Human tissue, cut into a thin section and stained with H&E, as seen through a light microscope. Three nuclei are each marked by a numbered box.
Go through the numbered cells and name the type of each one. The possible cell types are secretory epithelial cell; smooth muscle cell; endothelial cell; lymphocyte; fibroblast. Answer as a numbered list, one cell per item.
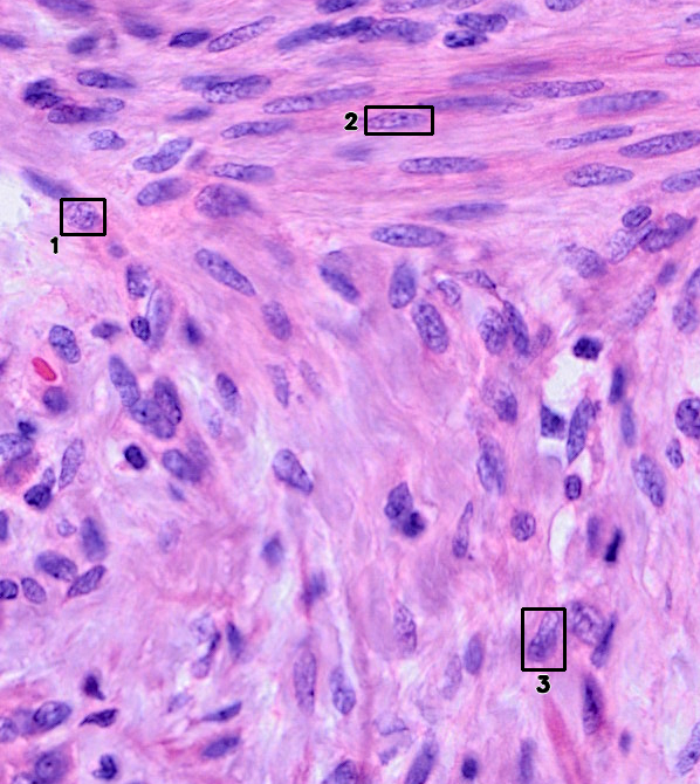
1. endothelial cell
2. smooth muscle cell
3. endothelial cell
